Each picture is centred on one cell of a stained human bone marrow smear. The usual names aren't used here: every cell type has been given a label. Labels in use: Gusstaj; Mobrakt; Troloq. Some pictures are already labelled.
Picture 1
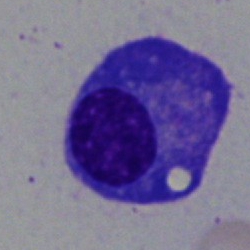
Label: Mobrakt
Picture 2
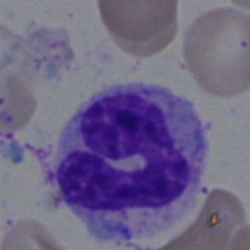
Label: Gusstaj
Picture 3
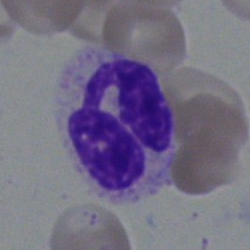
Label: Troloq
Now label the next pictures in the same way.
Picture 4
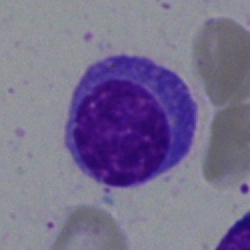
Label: Mobrakt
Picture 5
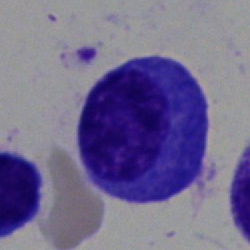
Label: Mobrakt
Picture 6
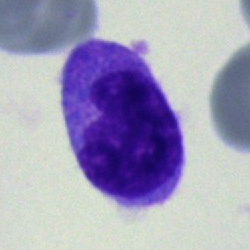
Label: Gusstaj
